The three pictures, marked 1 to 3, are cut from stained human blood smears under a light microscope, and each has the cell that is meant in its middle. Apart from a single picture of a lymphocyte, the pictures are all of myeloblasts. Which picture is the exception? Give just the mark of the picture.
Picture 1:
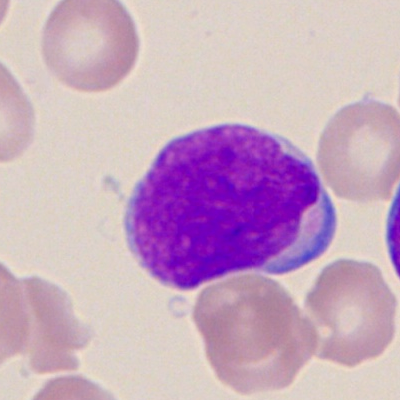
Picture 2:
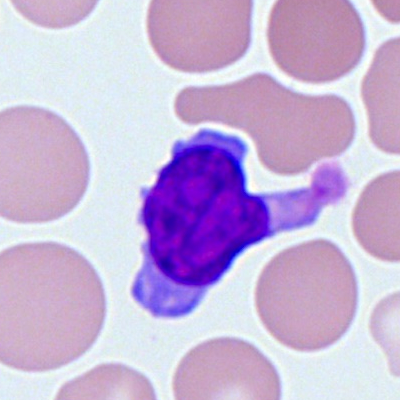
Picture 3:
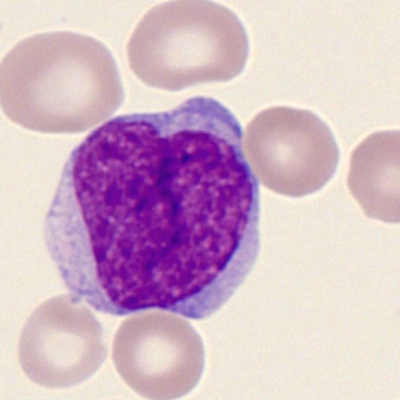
2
